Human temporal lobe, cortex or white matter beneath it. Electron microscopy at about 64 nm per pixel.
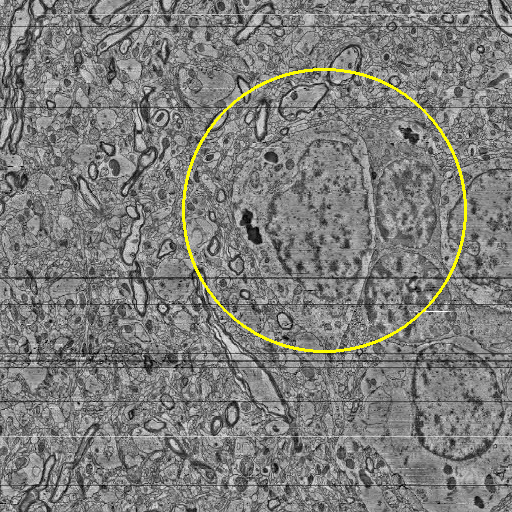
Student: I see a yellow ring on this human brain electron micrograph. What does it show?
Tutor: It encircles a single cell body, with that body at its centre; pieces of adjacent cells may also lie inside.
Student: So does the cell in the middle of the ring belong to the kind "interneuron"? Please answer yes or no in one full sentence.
Yes, the cell in the middle of that yellow ring belongs to this kind.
